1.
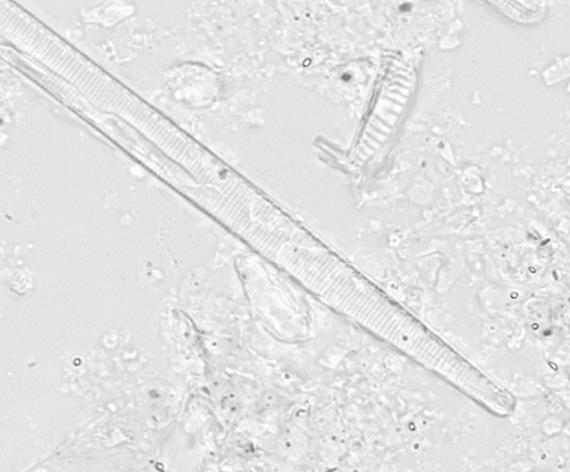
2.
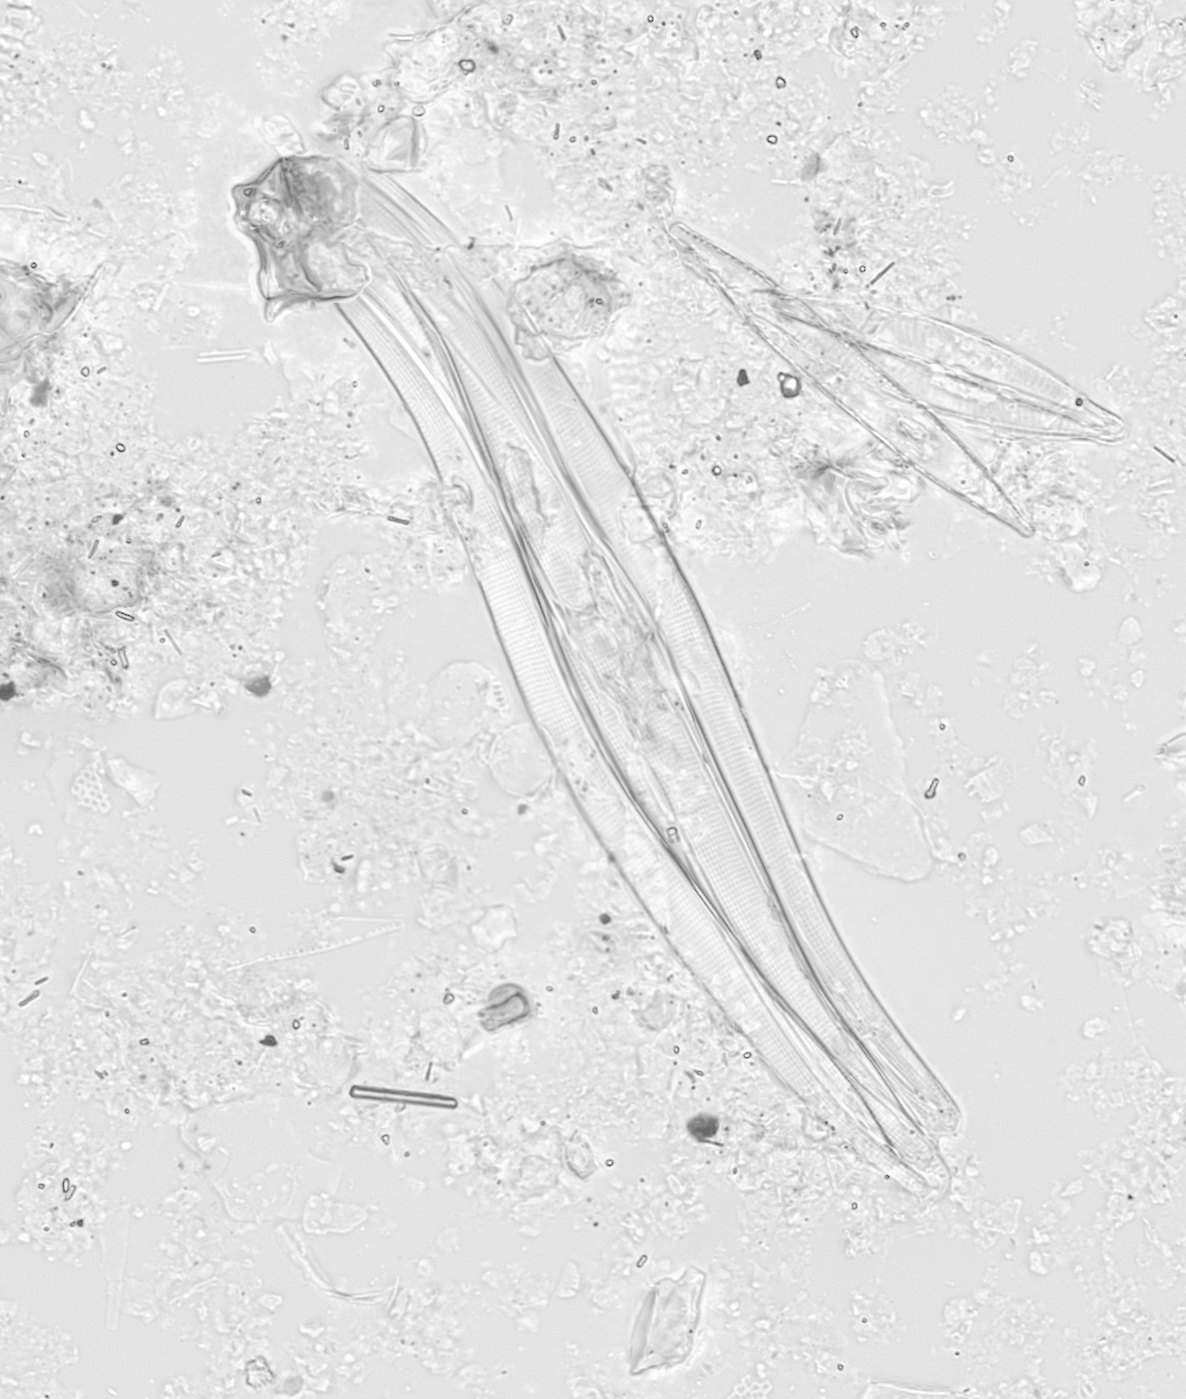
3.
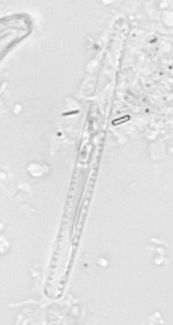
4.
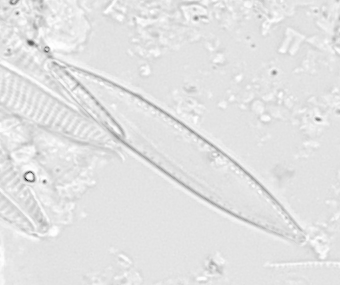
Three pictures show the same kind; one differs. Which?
Picture 2: Gyrosigma, while the others are Nitzschia.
